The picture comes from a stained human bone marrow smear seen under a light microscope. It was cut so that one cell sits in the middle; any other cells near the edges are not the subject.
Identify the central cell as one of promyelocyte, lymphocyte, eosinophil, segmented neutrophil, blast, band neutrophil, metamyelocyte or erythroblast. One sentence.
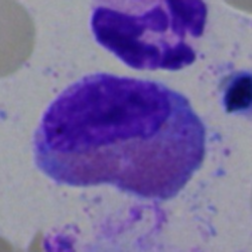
In the middle of this smear crop is an eosinophil.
